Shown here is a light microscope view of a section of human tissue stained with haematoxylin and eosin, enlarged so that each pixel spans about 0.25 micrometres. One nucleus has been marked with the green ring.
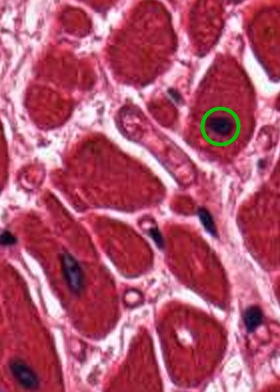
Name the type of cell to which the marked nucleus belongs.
cardiomyocyte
